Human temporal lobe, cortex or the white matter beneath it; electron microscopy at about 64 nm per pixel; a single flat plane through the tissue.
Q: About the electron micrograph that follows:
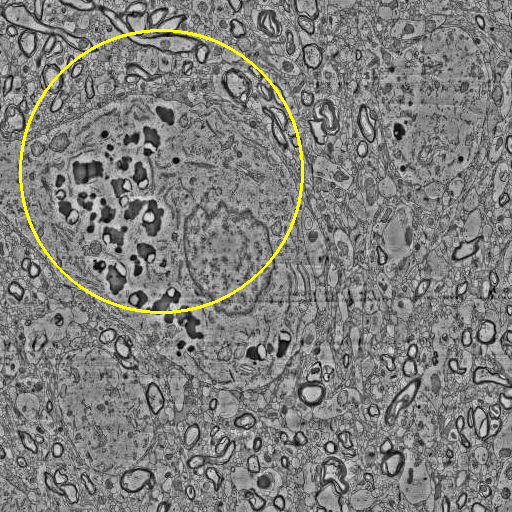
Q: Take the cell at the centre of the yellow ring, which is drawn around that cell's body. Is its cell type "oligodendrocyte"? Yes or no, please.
Yes, its type is that one.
